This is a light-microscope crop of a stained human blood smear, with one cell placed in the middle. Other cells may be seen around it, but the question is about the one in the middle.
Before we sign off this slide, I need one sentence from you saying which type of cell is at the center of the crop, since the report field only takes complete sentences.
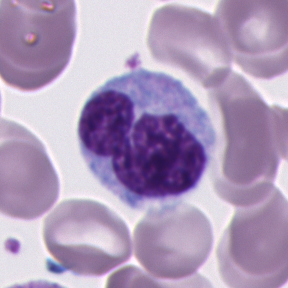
This particular crop is centered on a monocyte.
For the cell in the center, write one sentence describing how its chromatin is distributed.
The chromatin within its nucleus forms coarse clumps.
